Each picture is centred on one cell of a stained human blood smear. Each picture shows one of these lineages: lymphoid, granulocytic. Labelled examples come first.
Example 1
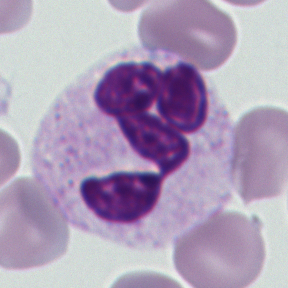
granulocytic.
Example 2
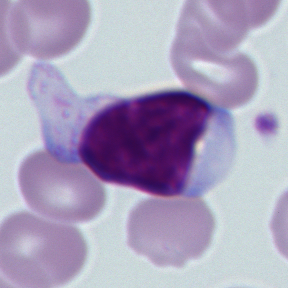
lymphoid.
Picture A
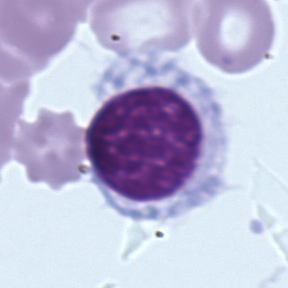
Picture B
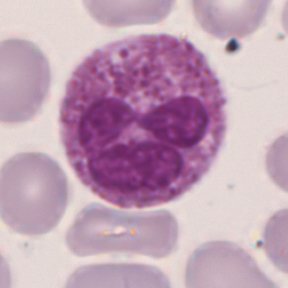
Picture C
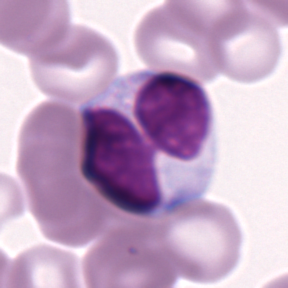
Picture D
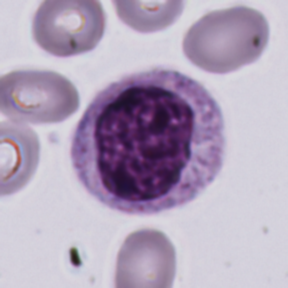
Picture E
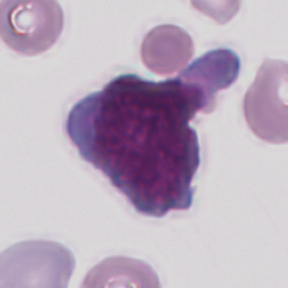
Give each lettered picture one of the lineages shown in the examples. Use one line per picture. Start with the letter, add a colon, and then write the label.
A: lymphoid.
B: granulocytic.
C: lymphoid.
D: granulocytic.
E: granulocytic.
